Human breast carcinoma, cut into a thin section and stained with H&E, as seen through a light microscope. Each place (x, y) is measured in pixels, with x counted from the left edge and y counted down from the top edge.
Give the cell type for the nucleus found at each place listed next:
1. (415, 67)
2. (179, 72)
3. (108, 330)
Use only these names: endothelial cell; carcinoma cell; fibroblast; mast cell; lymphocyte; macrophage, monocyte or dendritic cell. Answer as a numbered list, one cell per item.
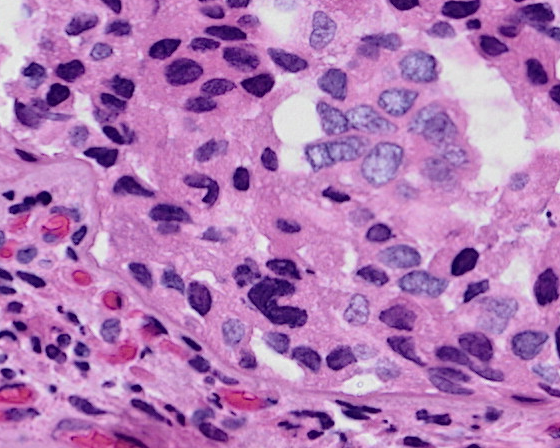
1. carcinoma cell
2. carcinoma cell
3. endothelial cell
